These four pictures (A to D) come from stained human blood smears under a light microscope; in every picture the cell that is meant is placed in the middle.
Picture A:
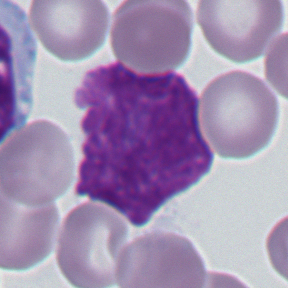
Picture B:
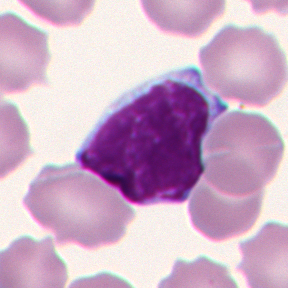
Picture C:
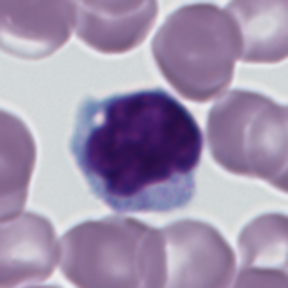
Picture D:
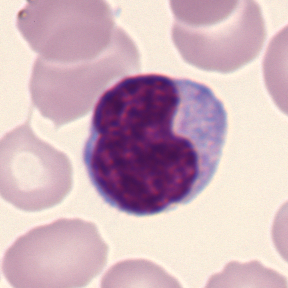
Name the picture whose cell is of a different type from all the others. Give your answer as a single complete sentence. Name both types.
The others show typical lymphocytes, but picture A shows a smudge cell.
